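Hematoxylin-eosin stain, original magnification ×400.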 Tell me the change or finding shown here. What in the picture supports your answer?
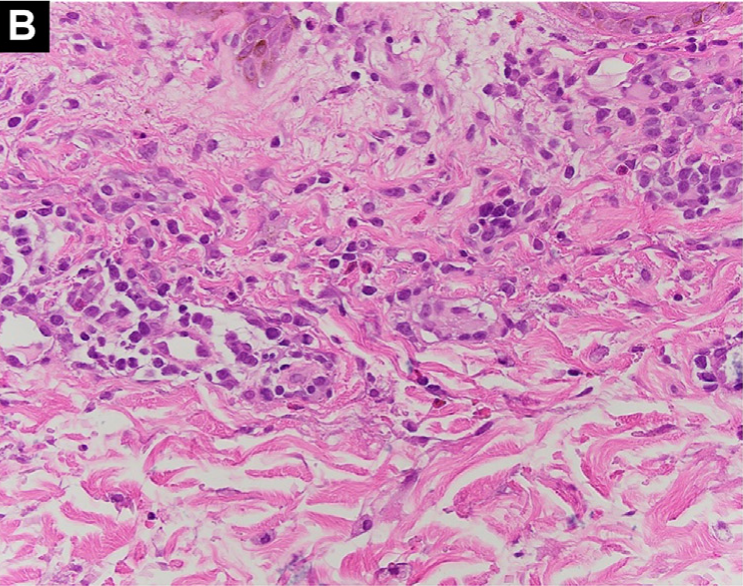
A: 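Brisk inflammation. Many small cells with dark round or lobed nuclei lie scattered and clustered in the dermis. The cells crowd around small vessels in the upper dermis.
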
